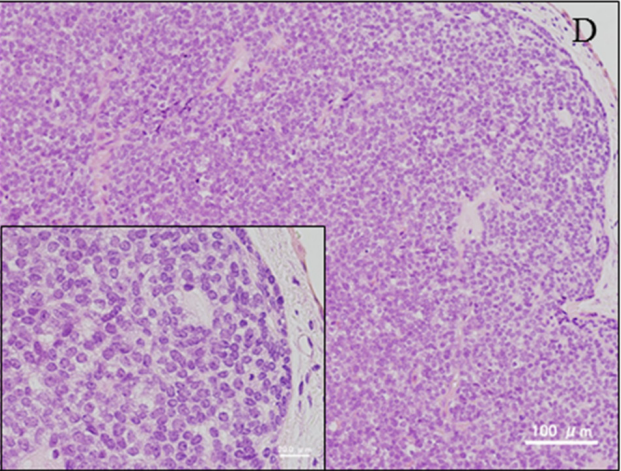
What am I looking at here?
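A solid, well-circumscribed nodule of tumor cells fills the field, bounded on the right by a thin band of pink fibrous tissue. The inset shows the edge of the nodule, where flattened cells of the fibrous border lie against the packed tumor cells.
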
